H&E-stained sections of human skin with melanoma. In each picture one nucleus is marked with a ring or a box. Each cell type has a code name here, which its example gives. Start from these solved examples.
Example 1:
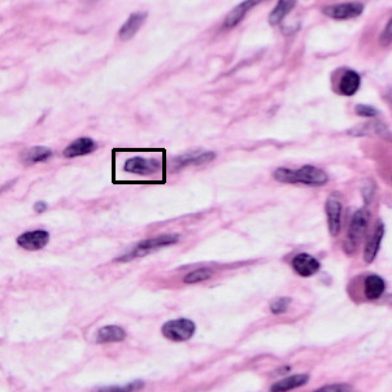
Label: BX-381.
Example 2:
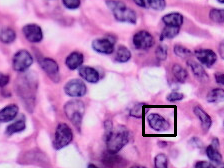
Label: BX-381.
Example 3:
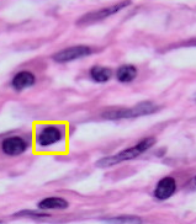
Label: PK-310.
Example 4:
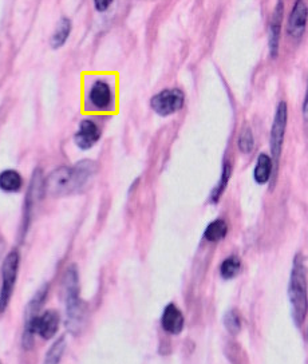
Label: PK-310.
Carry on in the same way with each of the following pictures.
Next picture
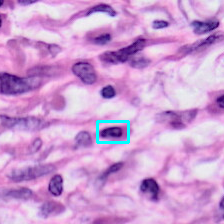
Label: PK-310.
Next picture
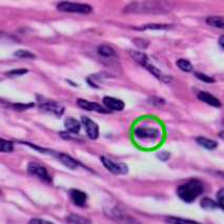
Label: BX-381.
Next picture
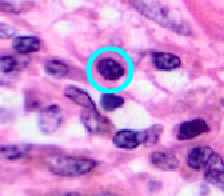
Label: PK-310.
